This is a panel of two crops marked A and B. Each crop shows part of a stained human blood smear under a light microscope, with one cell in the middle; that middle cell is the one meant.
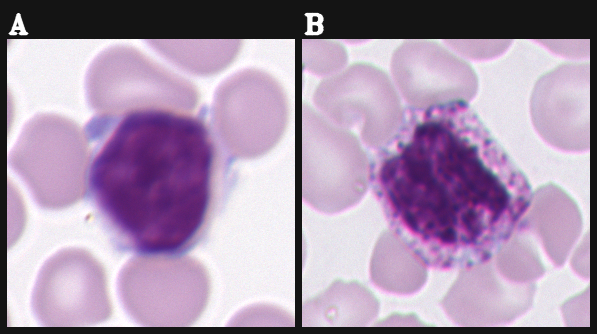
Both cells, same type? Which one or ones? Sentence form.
No, a typical lymphocyte is the cell in crop A; a basophil is the cell in crop B.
